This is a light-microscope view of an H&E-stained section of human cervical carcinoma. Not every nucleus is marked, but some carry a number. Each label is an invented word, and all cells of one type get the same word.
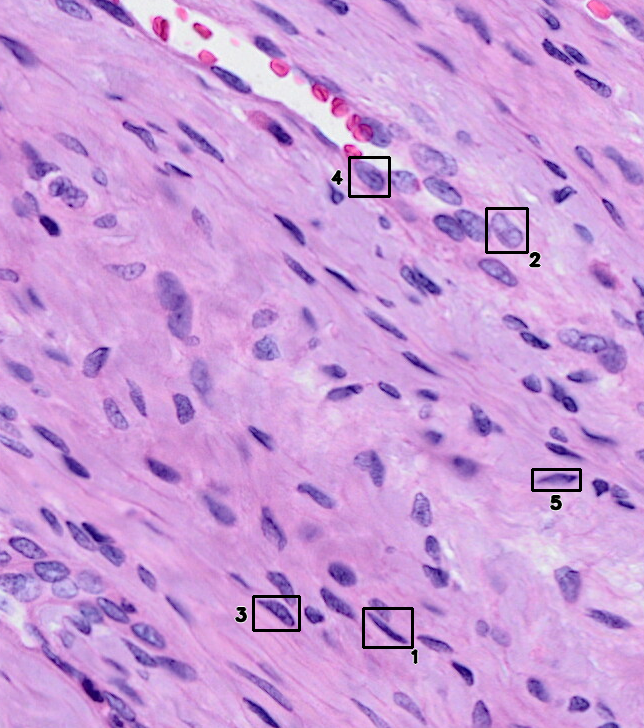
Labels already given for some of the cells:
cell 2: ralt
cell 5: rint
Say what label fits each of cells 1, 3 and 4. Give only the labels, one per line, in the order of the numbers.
rint
rint
ralt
